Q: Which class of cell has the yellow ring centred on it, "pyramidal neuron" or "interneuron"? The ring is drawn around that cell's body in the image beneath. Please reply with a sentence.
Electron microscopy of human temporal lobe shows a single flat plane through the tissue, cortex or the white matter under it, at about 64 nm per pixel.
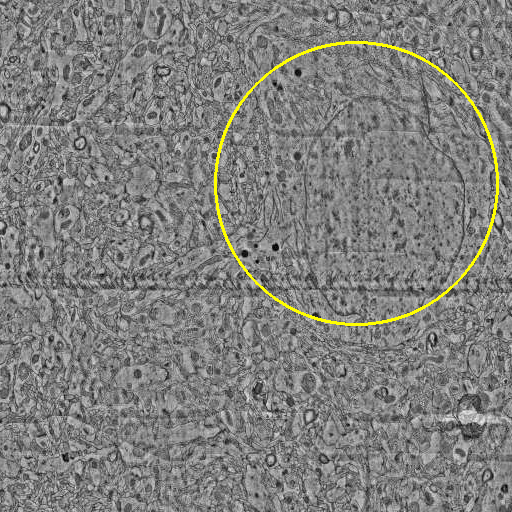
It is centred on a pyramidal neuron.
